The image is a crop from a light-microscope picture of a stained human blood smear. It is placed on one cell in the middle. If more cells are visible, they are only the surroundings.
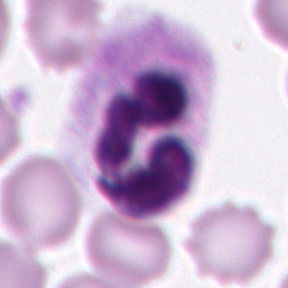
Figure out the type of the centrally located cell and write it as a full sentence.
The cell featured at the centre of this crop is a segmented neutrophil.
